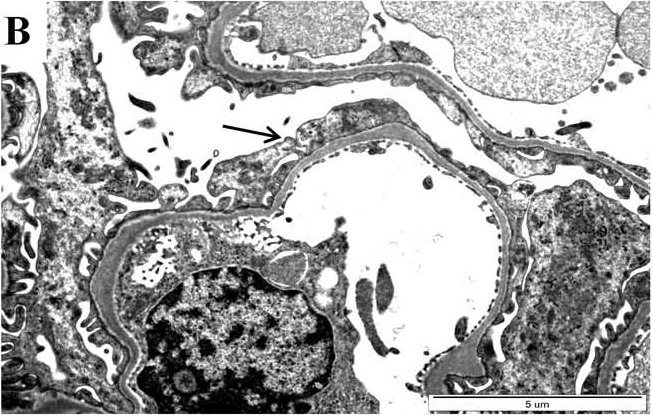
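Glomerular capillary loops are seen with podocytes lying on their outer surface and a dark-nucleated cell with clumped chromatin set against the capillary wall. The grey basement membrane is broad and irregular in thickness. Over long stretches the podocyte cytoplasm spreads flat along the membrane instead of forming a row of separate small feet; an arrow marks one such flattened stretch. Elsewhere a few foot processes remain. The capillary lumens are open and hold scattered debris. This picture fits foot process effacement of podocytes with thickening of the glomerular basement membrane.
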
